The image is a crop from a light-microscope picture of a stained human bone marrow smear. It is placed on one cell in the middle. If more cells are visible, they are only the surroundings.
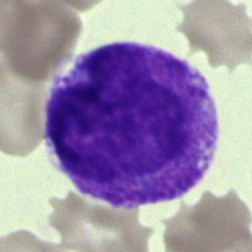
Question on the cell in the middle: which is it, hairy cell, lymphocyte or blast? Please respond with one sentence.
In the central position of this crop, the cell is a blast.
